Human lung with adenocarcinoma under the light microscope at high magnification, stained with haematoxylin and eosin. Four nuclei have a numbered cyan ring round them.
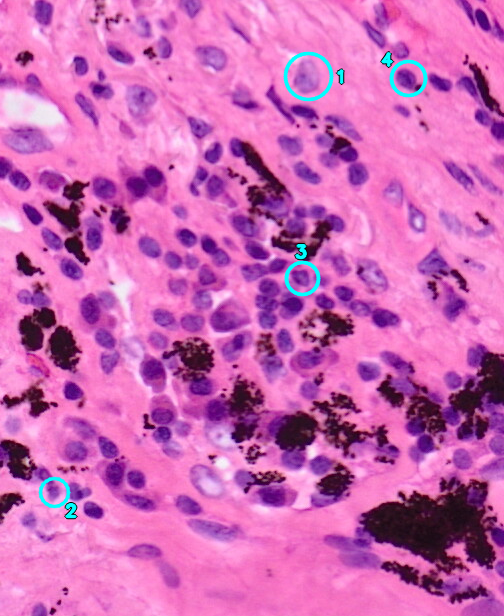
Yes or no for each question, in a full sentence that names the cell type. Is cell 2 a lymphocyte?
Yes, on this slide, the cell with number 2 is a lymphocyte.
